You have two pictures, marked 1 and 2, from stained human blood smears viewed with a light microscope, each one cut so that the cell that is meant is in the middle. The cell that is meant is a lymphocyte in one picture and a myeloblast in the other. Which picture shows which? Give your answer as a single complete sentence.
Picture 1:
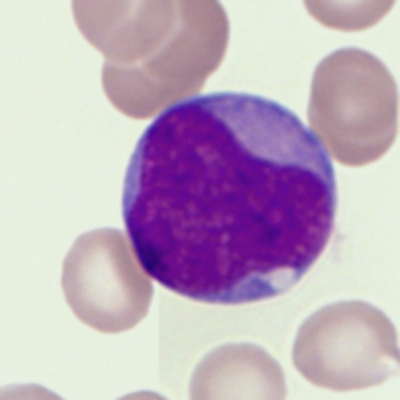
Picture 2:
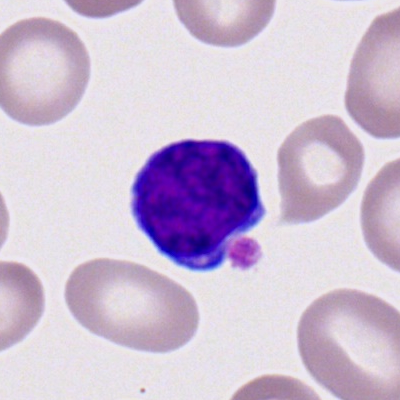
Picture 2 shows a lymphocyte, while picture 1 shows a myeloblast.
